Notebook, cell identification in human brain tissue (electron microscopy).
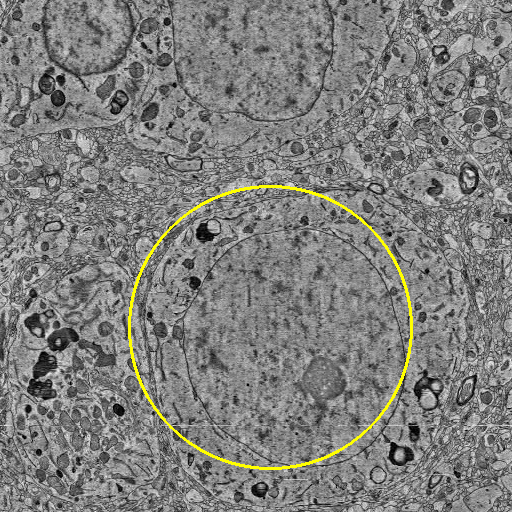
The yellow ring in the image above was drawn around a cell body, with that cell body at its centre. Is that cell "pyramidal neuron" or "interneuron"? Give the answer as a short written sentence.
The cell in the ring is a pyramidal neuron.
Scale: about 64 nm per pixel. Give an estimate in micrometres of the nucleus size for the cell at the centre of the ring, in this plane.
Roughly 15 micrometres across for the nucleus, in this plane.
